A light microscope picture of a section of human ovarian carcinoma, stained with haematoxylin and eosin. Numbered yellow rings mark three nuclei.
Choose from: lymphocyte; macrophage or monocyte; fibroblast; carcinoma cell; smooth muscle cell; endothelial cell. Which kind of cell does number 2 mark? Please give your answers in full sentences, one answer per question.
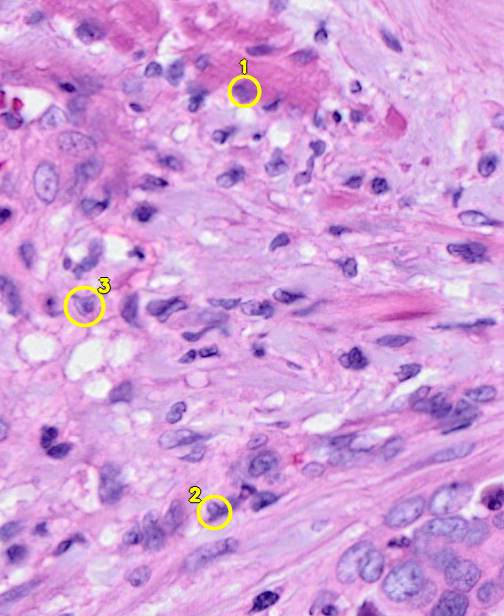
In this section, the cell tagged 2 is a macrophage or monocyte.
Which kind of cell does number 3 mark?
Marked with the number 3, this cell is a macrophage or monocyte.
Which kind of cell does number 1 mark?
In this section, the cell numbered 1 is a smooth muscle cell.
